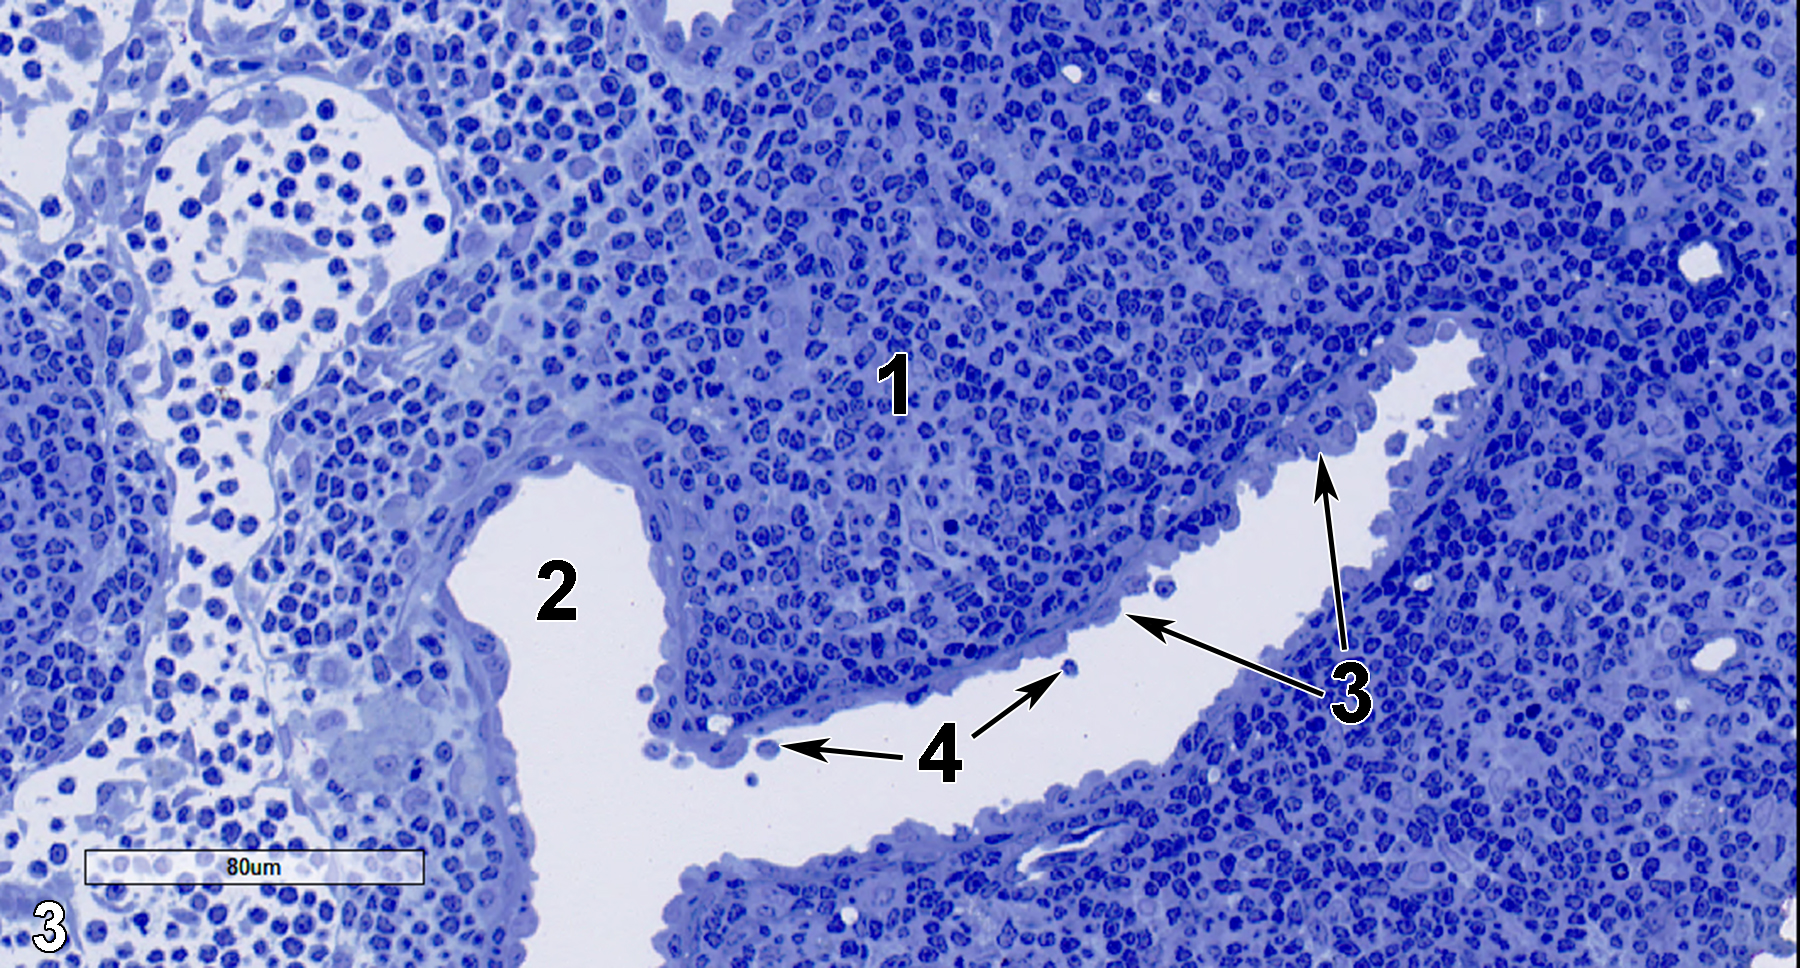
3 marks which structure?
endothelial cells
